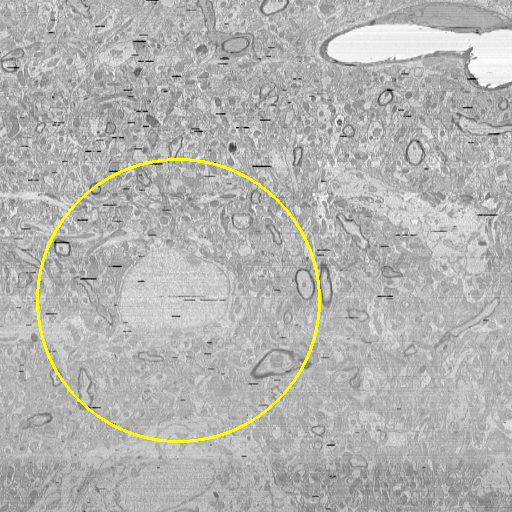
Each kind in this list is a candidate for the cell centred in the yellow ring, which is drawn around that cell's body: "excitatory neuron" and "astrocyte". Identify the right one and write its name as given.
astrocyte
